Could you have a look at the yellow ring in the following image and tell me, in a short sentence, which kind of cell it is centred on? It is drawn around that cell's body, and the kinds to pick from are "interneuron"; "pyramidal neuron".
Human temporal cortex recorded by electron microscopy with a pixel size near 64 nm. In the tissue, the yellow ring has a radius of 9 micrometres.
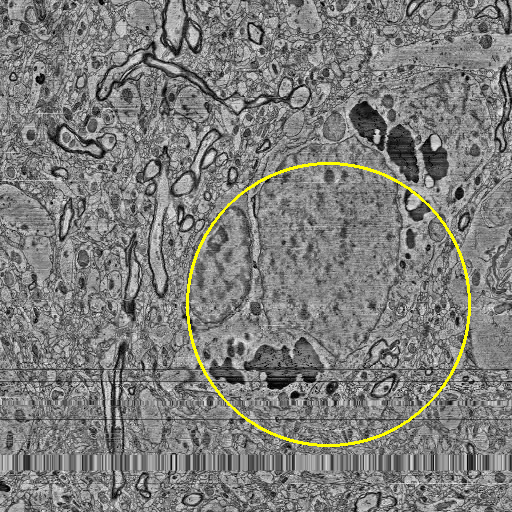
The ring is centred on the body of an interneuron.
